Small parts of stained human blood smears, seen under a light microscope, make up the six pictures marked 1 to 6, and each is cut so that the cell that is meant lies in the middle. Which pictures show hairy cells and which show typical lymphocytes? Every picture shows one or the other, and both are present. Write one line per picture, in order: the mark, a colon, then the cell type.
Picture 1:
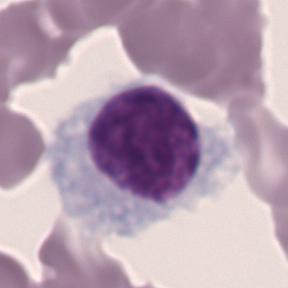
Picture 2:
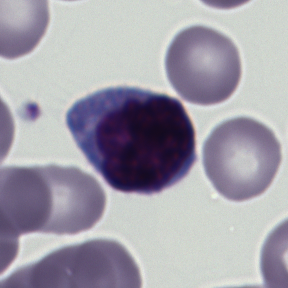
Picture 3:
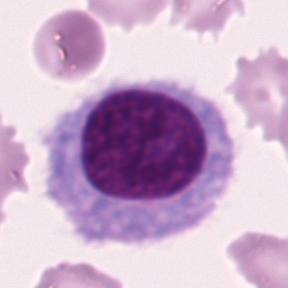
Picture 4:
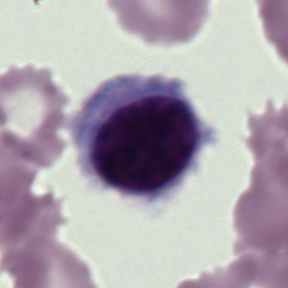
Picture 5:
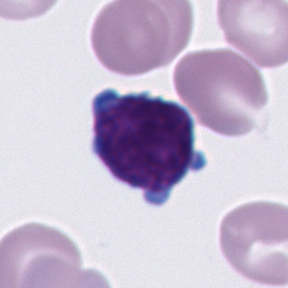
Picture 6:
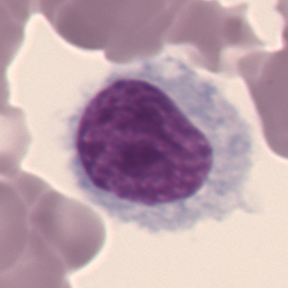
1: hairy cell
2: typical lymphocyte
3: hairy cell
4: hairy cell
5: typical lymphocyte
6: hairy cell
